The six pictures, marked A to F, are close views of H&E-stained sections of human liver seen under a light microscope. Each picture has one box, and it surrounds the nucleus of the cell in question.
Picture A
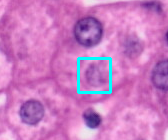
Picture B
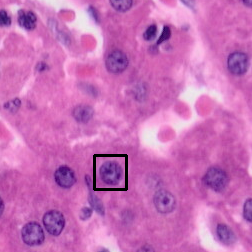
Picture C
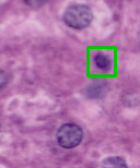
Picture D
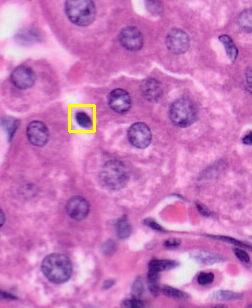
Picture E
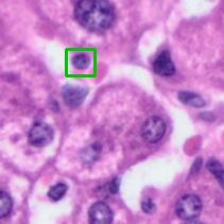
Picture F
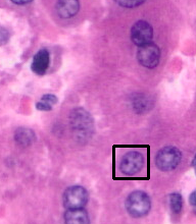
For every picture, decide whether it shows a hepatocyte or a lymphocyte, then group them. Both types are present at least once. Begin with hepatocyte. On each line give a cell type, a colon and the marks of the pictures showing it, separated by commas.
hepatocyte: A, B, F
lymphocyte: C, D, E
